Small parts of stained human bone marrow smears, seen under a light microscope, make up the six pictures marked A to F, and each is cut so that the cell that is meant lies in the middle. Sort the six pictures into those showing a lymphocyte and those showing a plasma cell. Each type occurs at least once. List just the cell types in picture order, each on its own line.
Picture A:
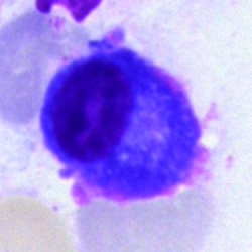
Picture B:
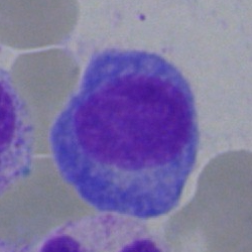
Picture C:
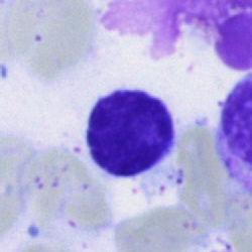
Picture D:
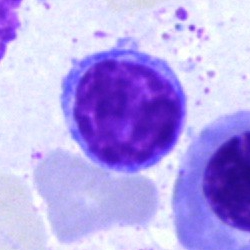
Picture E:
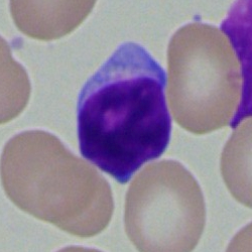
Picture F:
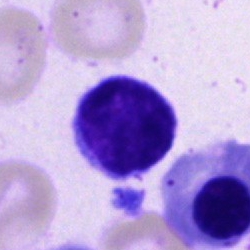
plasma cell
plasma cell
lymphocyte
lymphocyte
lymphocyte
lymphocyte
